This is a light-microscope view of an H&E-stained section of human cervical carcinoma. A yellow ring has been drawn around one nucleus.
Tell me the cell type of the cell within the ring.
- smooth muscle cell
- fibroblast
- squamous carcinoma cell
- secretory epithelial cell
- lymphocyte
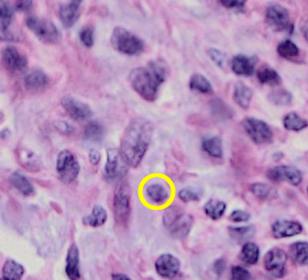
lymphocyte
